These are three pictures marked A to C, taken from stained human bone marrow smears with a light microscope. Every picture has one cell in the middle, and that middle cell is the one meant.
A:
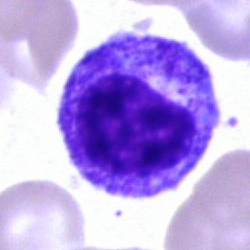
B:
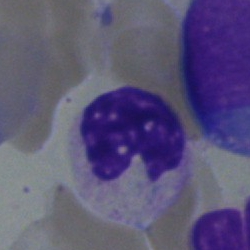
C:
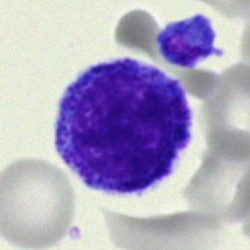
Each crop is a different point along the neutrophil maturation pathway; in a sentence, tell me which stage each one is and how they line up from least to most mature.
Maturation proceeds in the order crop C (a promyelocyte), crop A (a myelocyte) and crop B (a band neutrophil).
